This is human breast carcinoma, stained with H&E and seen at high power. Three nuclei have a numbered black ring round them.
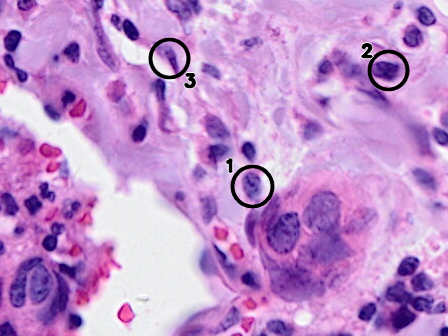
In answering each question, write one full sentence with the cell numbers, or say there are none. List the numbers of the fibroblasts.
Among the labelled cells, only the cell labelled 3 is a fibroblast.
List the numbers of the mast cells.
Nothing but cell 1 is a mast cell among the numbered ones.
